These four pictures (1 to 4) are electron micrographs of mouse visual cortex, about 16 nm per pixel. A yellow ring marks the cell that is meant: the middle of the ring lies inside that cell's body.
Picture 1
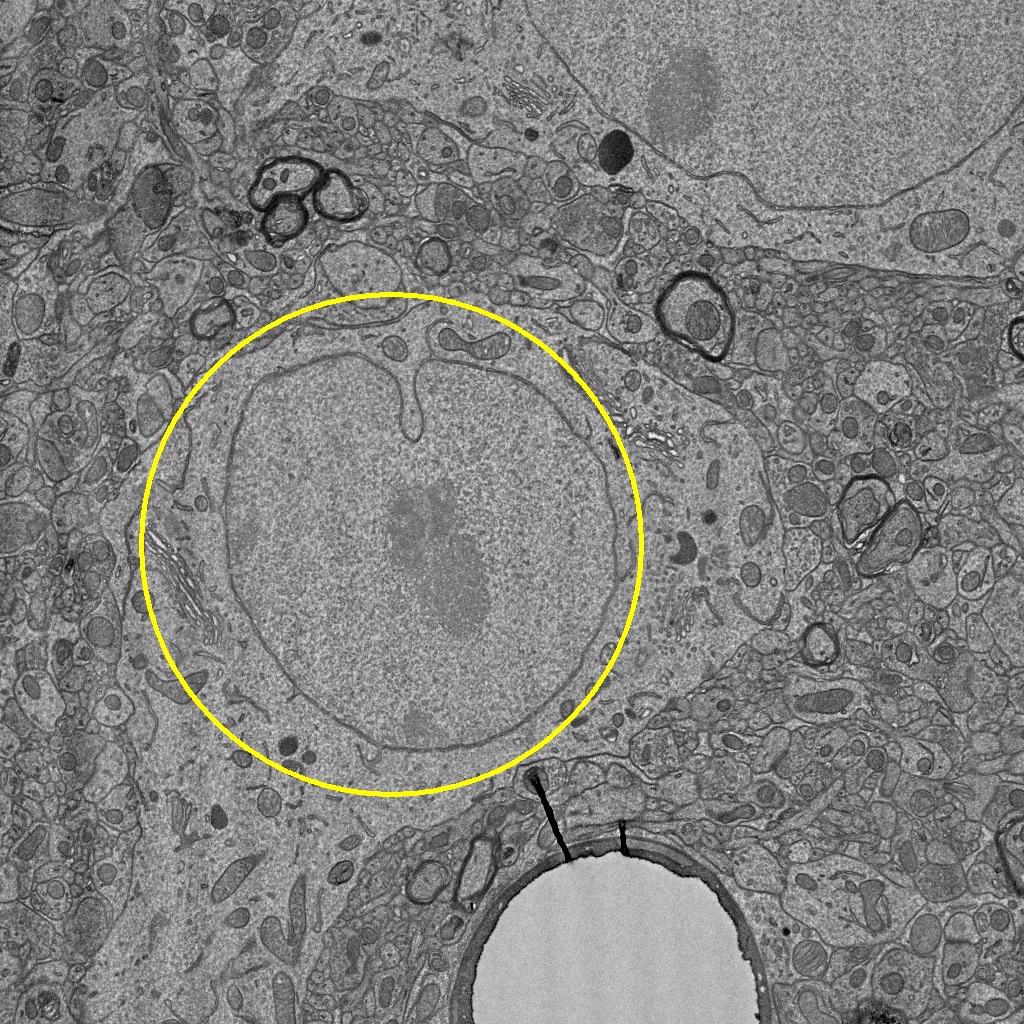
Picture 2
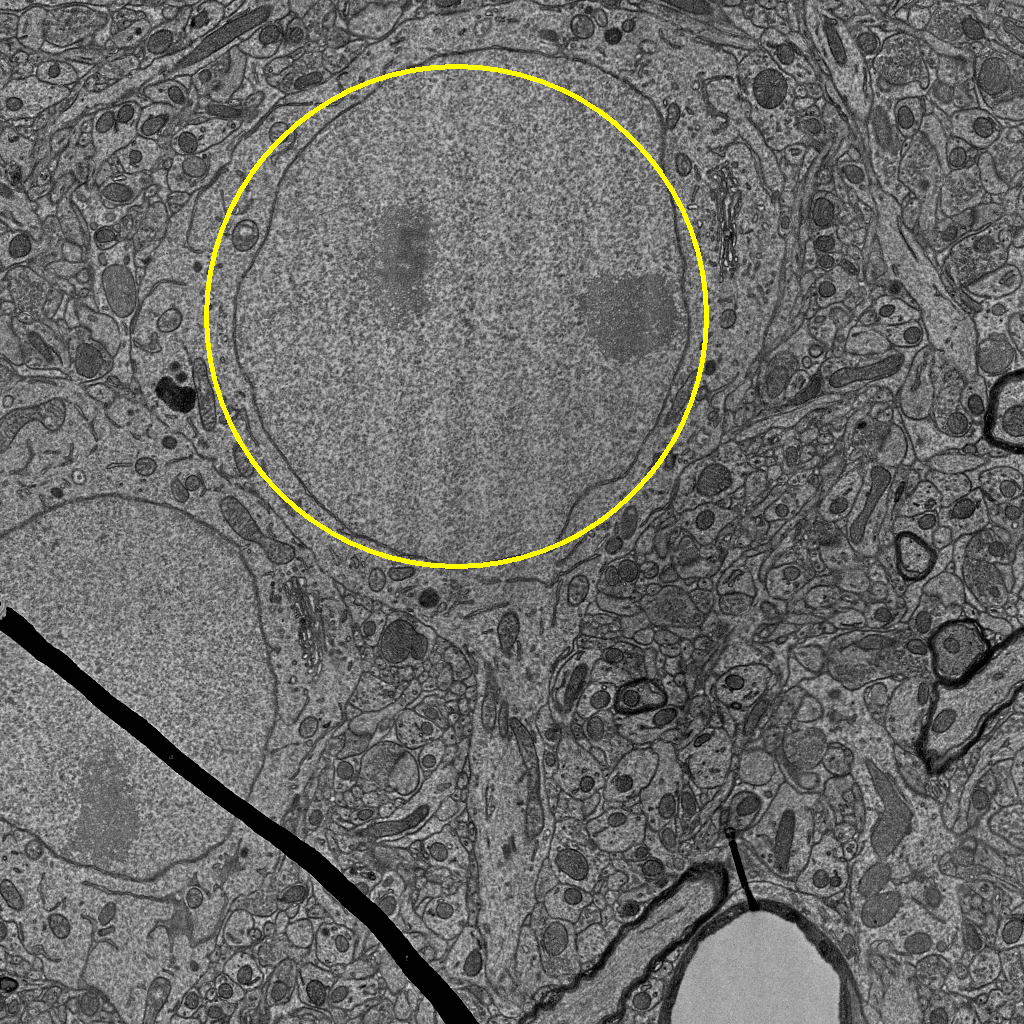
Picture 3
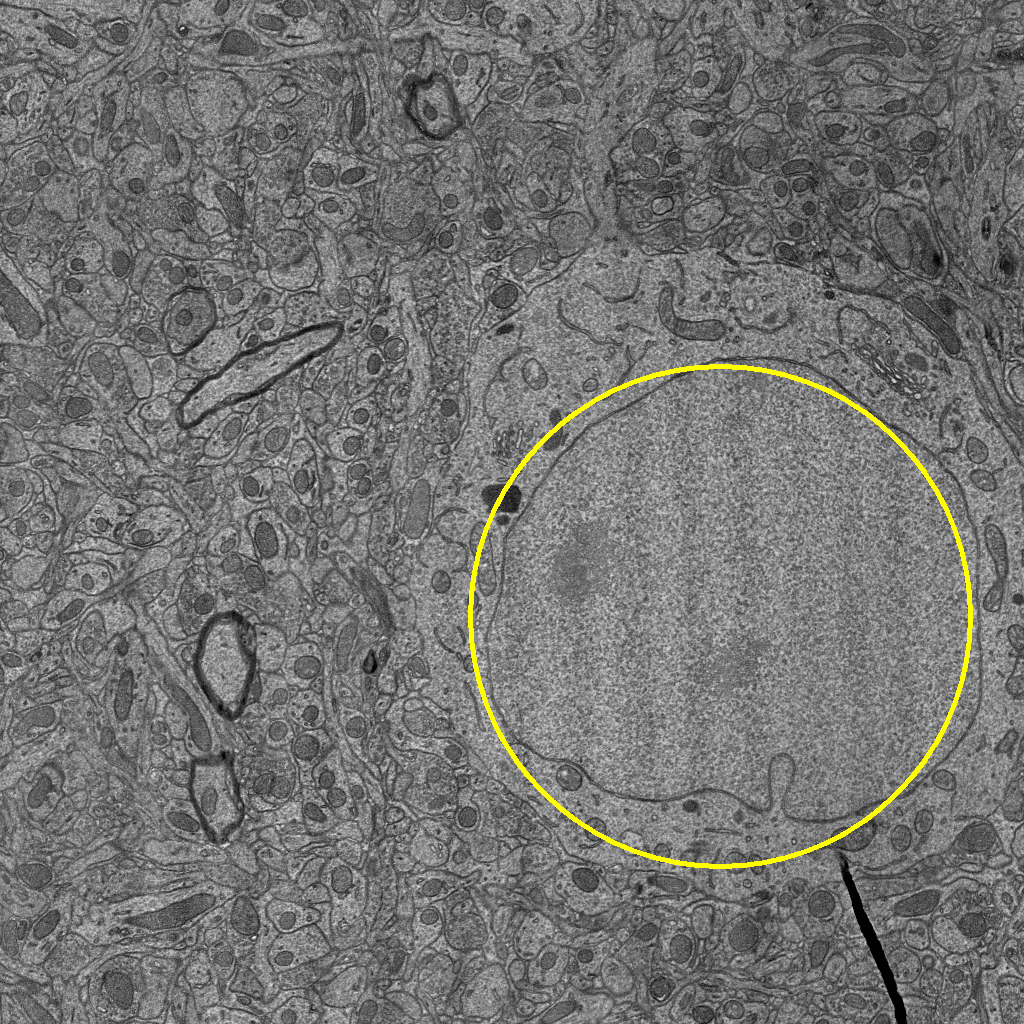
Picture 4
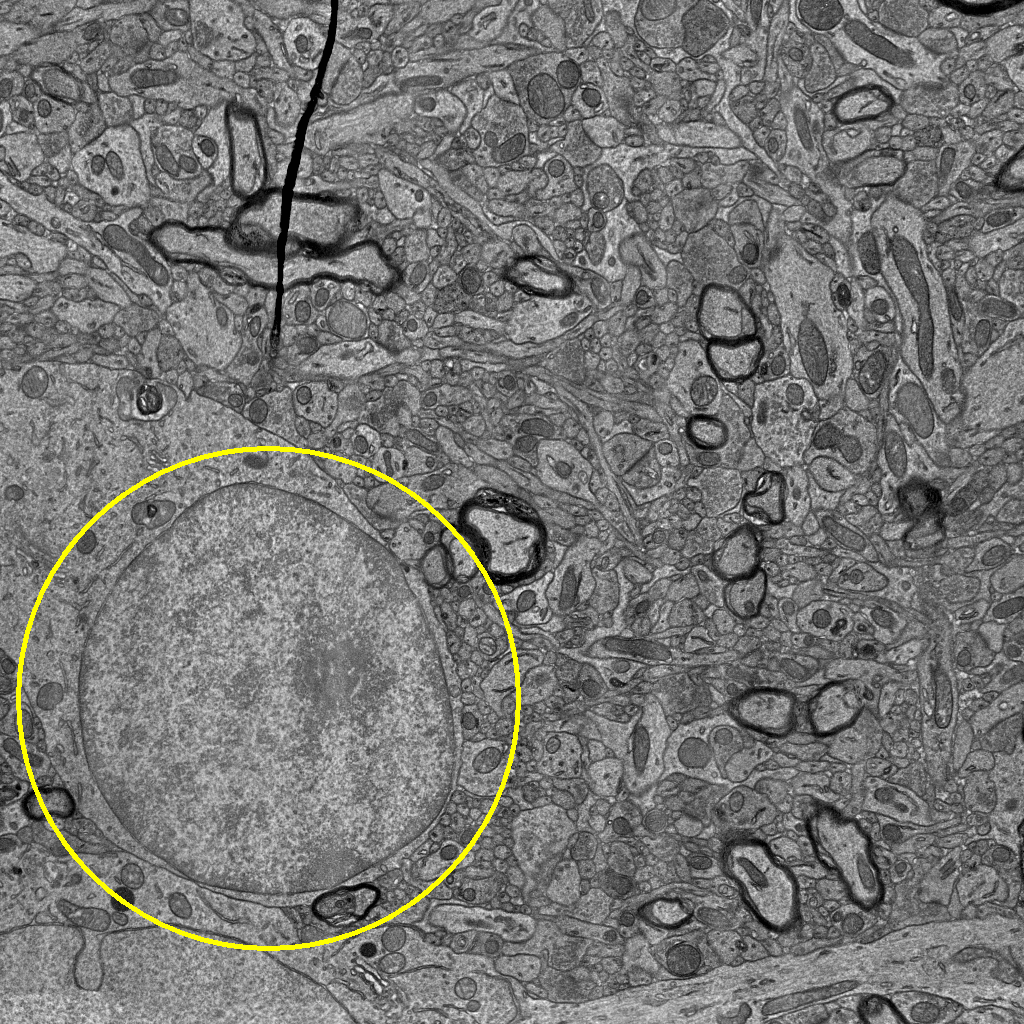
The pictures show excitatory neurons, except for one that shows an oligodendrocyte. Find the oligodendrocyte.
Picture 4 is the one that shows the oligodendrocyte.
